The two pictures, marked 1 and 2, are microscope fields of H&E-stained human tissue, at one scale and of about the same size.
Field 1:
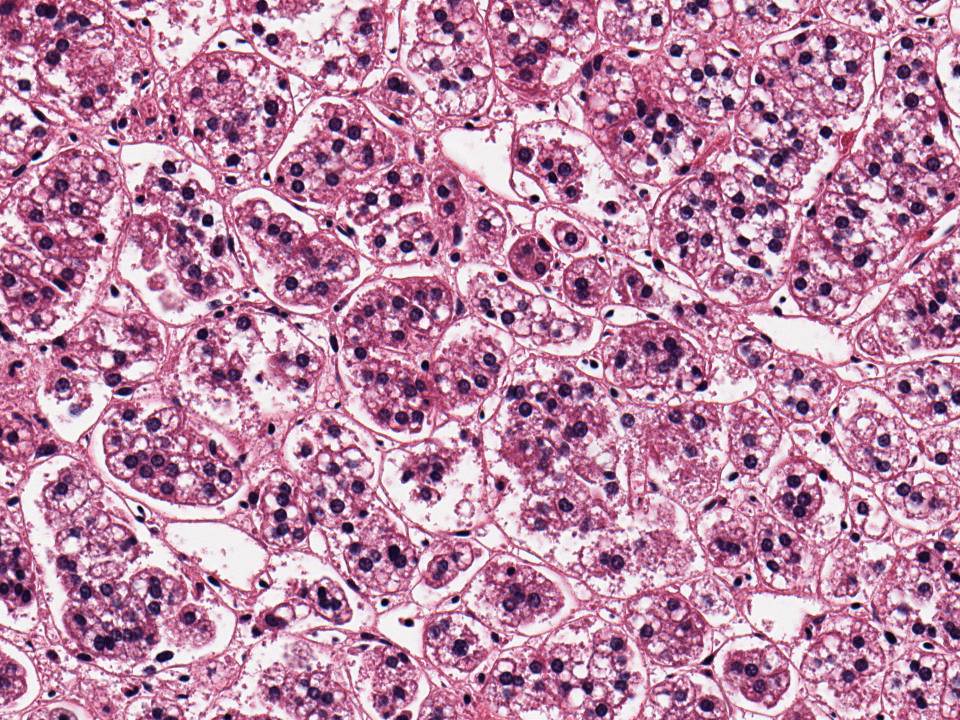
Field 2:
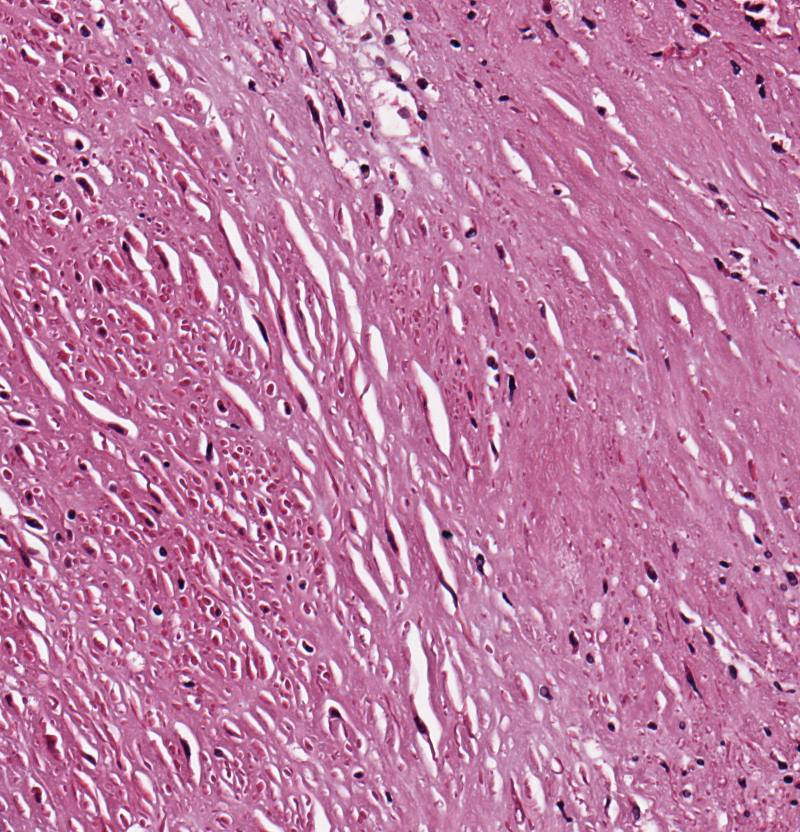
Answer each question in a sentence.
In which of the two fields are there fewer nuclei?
The smaller number of nuclei is in field 2.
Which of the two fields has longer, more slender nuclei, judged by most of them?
The nuclei are more elongated in field 2.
